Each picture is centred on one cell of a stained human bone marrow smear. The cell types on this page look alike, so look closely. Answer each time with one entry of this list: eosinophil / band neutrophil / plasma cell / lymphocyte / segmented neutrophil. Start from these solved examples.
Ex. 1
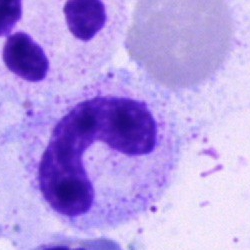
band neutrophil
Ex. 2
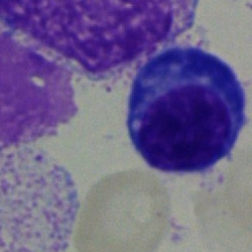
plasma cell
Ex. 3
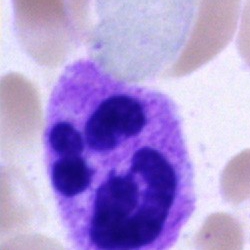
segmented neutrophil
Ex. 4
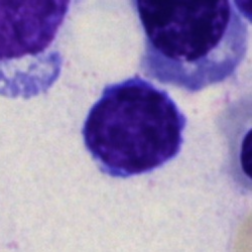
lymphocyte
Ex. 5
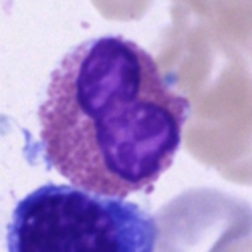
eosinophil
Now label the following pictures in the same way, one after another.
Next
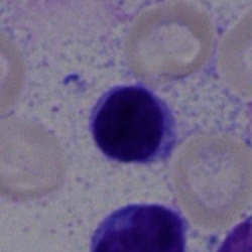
lymphocyte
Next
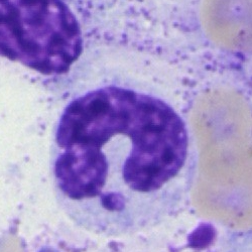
band neutrophil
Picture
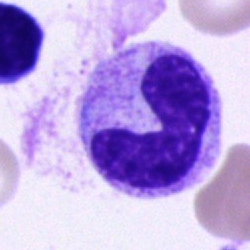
band neutrophil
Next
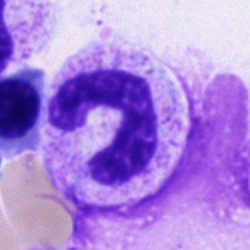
band neutrophil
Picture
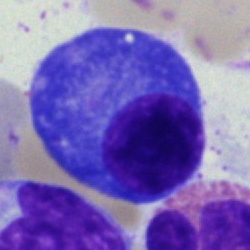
plasma cell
